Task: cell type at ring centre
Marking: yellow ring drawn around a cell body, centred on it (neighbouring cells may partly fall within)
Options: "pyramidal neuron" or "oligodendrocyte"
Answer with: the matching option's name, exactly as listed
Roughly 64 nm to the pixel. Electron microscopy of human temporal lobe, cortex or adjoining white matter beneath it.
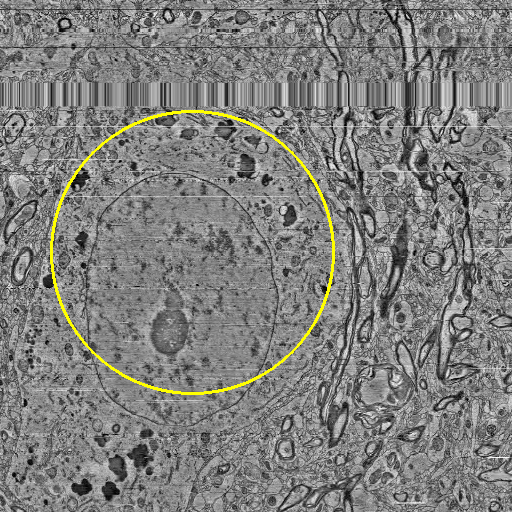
pyramidal neuron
